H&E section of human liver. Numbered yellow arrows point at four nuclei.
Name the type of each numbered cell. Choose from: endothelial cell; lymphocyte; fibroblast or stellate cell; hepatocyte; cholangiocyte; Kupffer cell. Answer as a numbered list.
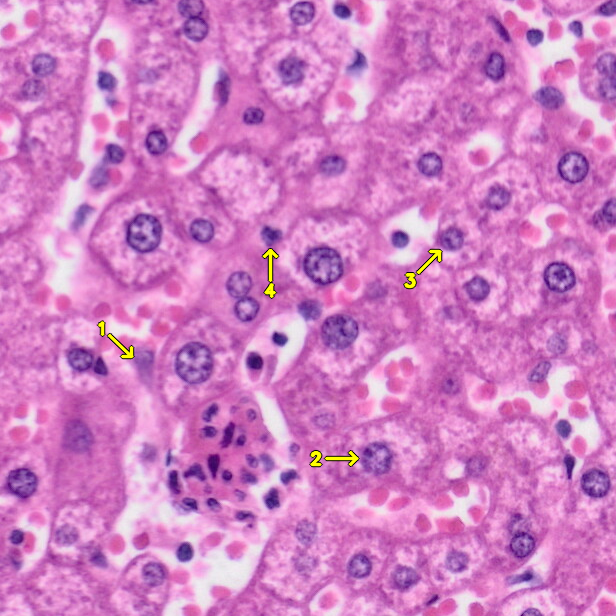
1. Kupffer cell
2. hepatocyte
3. hepatocyte
4. endothelial cell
